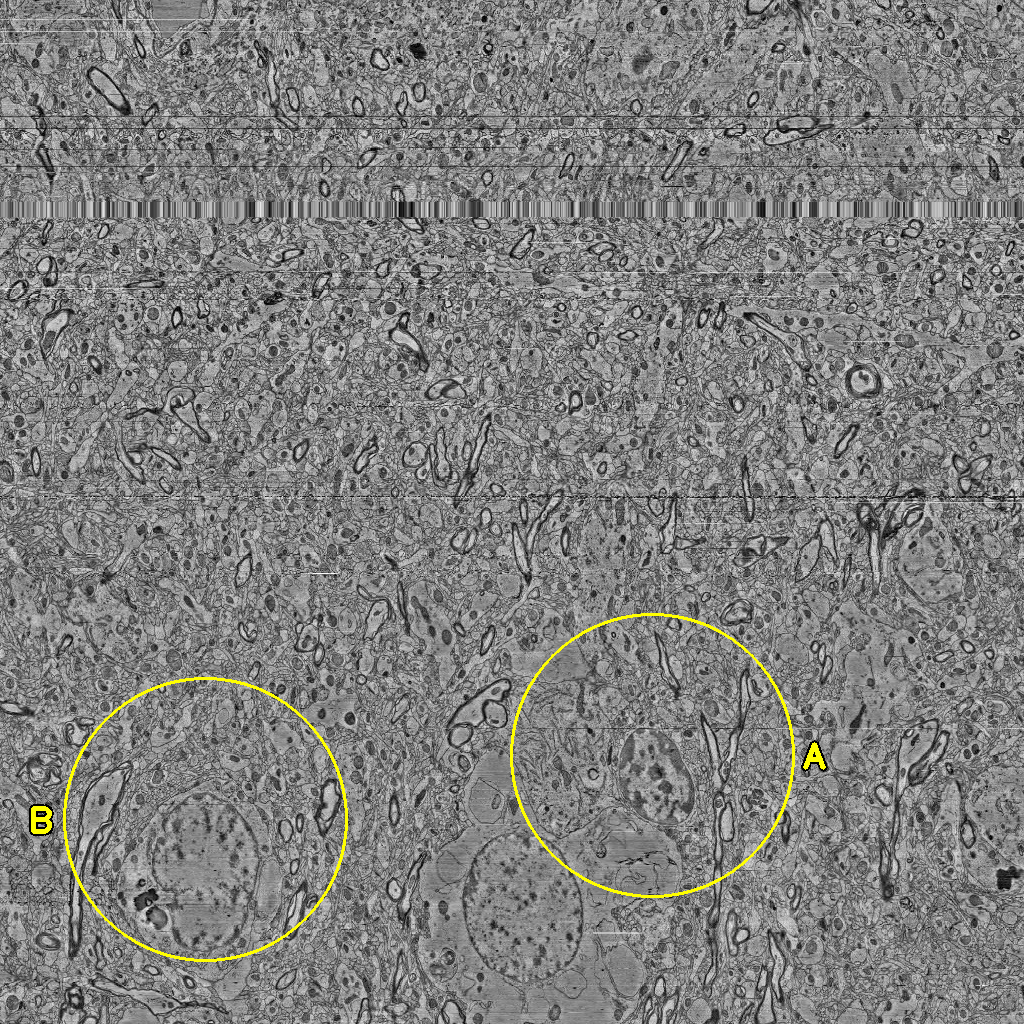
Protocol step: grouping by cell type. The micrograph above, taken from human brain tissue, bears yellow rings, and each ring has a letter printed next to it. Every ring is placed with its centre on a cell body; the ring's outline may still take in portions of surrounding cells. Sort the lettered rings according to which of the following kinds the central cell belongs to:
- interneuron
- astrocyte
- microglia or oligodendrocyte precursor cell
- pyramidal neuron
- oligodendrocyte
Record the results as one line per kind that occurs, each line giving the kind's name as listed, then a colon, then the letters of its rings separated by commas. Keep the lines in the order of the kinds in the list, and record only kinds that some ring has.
interneuron: B
microglia or oligodendrocyte precursor cell: A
